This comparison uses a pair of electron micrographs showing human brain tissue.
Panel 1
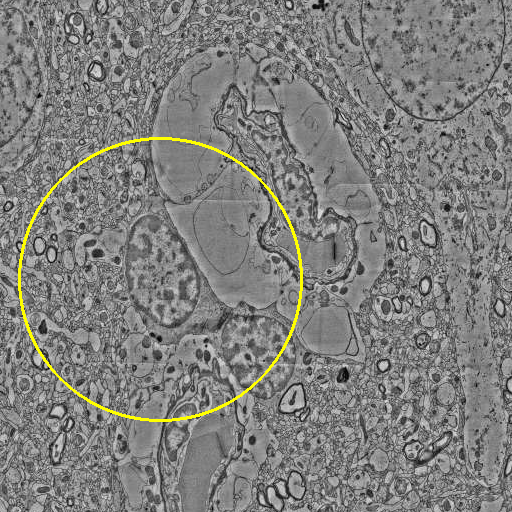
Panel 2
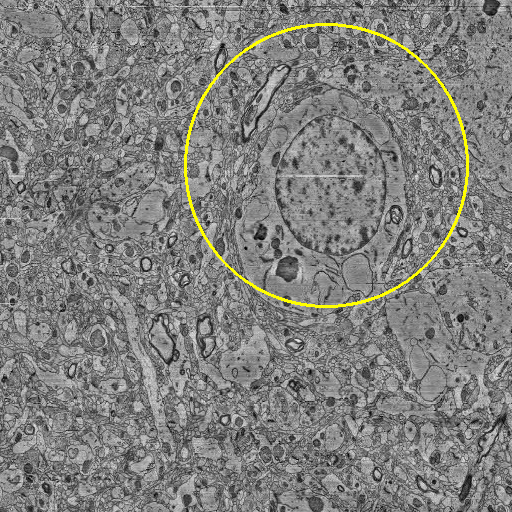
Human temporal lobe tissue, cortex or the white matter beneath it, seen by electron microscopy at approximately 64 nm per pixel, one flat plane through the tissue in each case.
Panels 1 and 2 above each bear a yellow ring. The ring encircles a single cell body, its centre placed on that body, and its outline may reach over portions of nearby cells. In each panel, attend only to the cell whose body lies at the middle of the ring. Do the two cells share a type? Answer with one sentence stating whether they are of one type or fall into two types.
In Panel 1 and Panel 2, the cells at the centres of the rings fall into two types.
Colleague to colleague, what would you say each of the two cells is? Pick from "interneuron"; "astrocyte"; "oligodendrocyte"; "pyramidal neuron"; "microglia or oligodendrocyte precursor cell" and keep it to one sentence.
The cell in the first picture is an oligodendrocyte; the second picture's cell is an astrocyte.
